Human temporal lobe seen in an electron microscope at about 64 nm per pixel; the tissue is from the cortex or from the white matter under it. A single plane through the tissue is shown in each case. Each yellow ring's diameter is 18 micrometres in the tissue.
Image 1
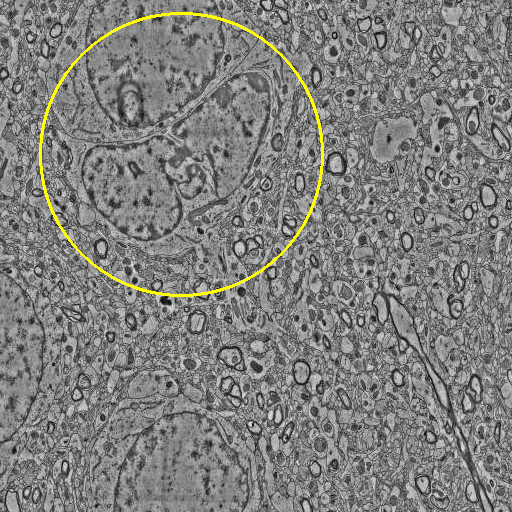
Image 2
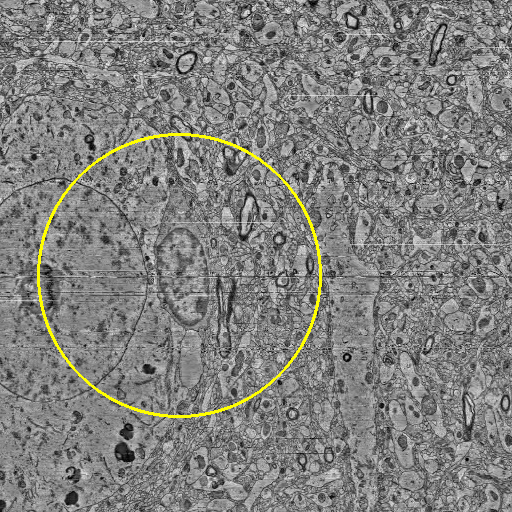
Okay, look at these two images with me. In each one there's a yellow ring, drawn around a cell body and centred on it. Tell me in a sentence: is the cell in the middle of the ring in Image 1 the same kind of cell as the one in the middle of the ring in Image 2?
No, they're two kinds of cell.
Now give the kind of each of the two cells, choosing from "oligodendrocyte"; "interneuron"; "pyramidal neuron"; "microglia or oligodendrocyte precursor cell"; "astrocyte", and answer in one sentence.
The cell in the first picture is a microglial cell or oligodendrocyte precursor cell, and the cell in the second is an oligodendrocyte.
